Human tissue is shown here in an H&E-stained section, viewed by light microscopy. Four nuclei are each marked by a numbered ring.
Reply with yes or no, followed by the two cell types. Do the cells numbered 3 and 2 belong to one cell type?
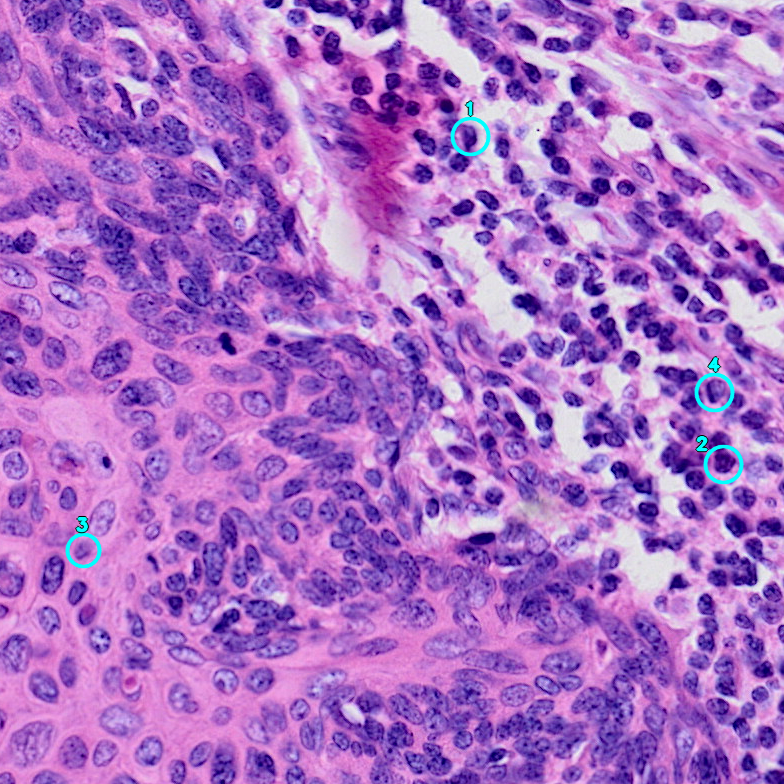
No; cell 3 is a squamous carcinoma cell, and cell 2 is a lymphocyte.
